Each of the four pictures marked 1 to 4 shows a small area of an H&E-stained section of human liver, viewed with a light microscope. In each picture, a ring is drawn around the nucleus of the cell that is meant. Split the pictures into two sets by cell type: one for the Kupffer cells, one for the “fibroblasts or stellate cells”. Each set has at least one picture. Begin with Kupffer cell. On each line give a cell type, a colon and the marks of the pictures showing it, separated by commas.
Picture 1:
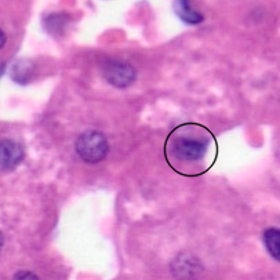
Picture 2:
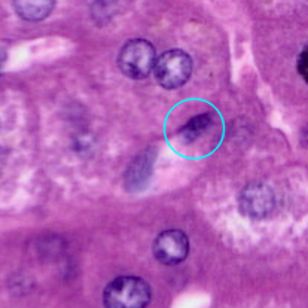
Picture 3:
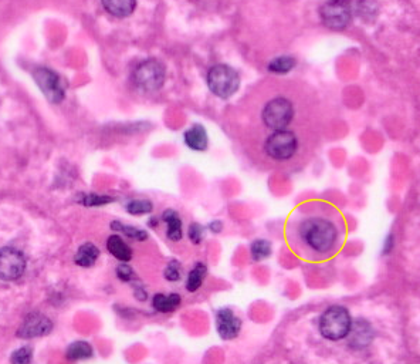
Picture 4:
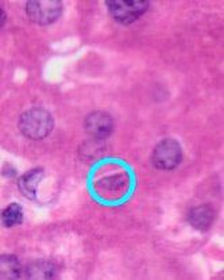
Kupffer cell: 3
fibroblast or stellate cell: 1, 2, 4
